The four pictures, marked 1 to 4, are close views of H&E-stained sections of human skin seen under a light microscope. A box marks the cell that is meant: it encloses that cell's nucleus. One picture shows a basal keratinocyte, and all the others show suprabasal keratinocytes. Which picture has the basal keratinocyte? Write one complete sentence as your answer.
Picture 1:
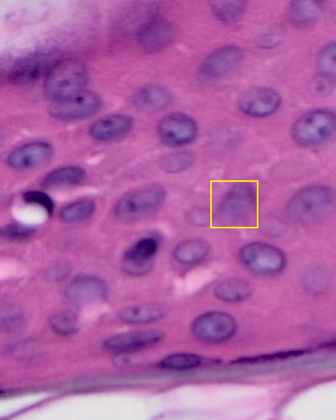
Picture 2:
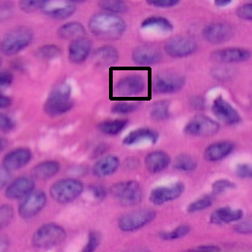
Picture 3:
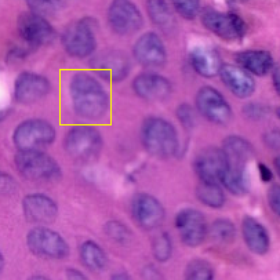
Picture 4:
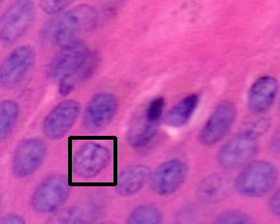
It is picture 2 that shows the basal keratinocyte.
